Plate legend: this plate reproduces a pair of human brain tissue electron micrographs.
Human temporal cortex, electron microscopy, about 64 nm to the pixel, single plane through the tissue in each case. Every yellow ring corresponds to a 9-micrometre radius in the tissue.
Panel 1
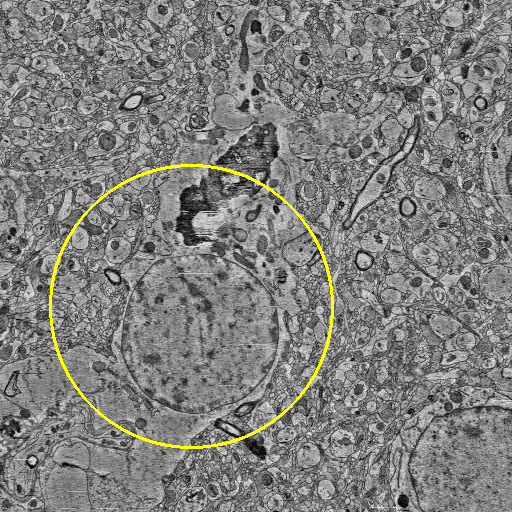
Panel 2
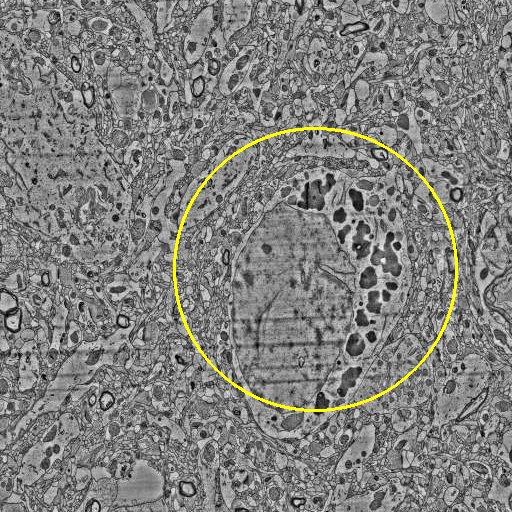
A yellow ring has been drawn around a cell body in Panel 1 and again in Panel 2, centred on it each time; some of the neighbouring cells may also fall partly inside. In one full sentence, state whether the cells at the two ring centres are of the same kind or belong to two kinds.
The ring-centred cells of Panel 1 and Panel 2 belong to two kinds.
